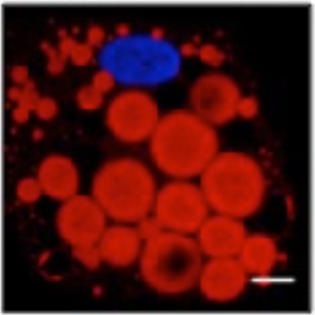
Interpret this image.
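The droplets are round and vary widely in size, from large spheres filling much of the cell to small dots at its periphery. Larger droplets press against one another and fill the centre and lower part of the cell. The blue nucleus is oval and lies near the top of the cell, displaced to the margin between droplets. Scattered small red droplets also lie along the outer edge of the cell.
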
